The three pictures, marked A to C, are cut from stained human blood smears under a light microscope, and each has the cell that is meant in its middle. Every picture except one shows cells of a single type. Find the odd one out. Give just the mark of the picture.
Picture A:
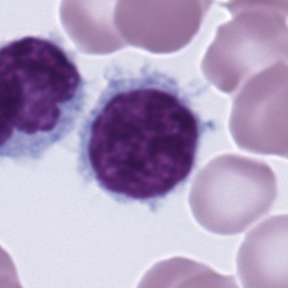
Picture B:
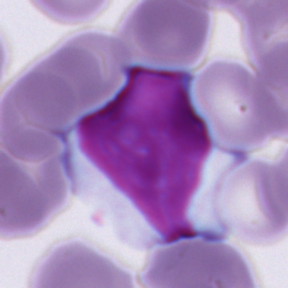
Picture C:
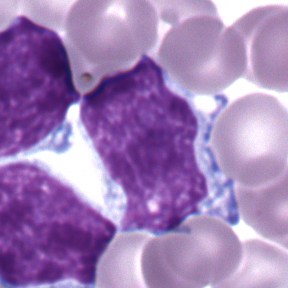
A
